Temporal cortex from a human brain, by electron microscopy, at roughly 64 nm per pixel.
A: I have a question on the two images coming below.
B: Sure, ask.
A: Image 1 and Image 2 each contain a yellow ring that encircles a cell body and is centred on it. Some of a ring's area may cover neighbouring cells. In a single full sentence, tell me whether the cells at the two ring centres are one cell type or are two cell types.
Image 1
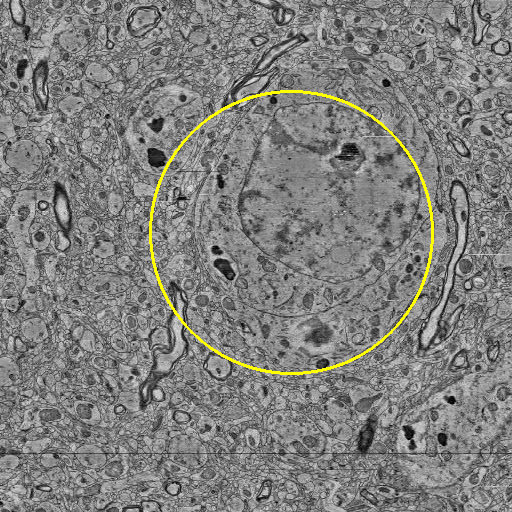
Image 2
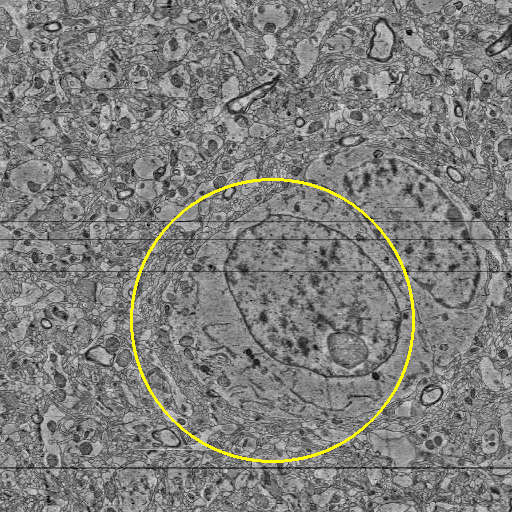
As for the ring-centre cells, the one in Image 1 and the one in Image 2 are one cell type.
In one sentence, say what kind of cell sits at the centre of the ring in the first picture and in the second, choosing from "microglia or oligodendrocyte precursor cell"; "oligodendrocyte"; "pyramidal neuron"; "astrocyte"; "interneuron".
In the first picture and in the second, the ring is centred on a pyramidal neuron.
